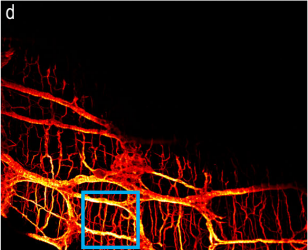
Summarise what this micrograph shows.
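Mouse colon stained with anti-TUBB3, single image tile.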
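Thick bright nerve bundles run roughly horizontally and branch to form a coarse net. Many thin fibres leave them and run in parallel, roughly vertical lines, giving a ladder-like pattern. Fine branching projections fill the spaces between the larger bundles.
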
